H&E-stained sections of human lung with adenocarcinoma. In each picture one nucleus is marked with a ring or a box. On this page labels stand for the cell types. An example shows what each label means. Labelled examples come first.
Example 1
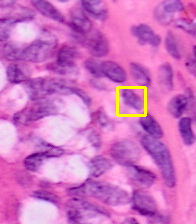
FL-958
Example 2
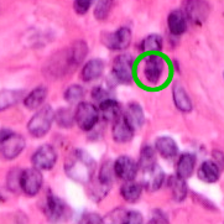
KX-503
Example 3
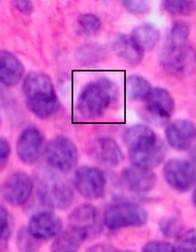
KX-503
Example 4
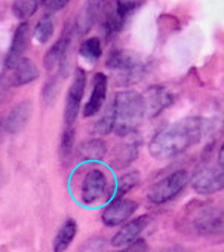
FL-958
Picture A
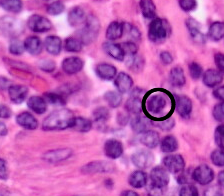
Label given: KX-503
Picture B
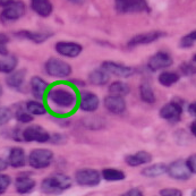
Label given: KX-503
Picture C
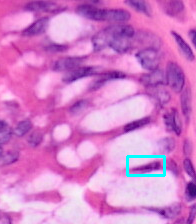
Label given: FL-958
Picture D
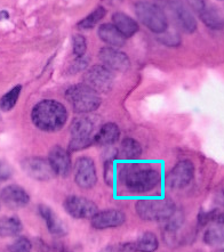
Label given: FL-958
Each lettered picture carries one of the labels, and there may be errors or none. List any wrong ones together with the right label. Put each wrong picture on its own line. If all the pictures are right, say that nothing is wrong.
Nothing to fix; every label fits.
